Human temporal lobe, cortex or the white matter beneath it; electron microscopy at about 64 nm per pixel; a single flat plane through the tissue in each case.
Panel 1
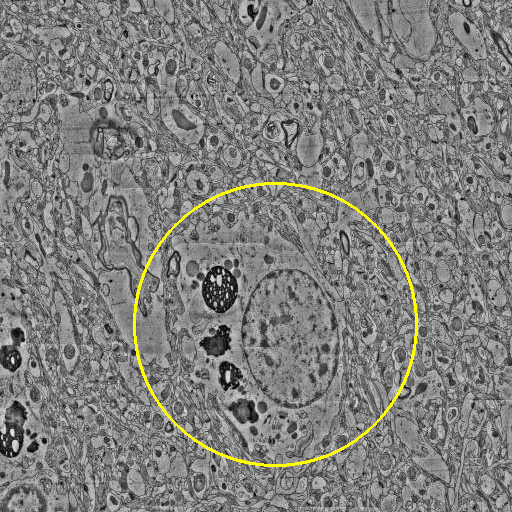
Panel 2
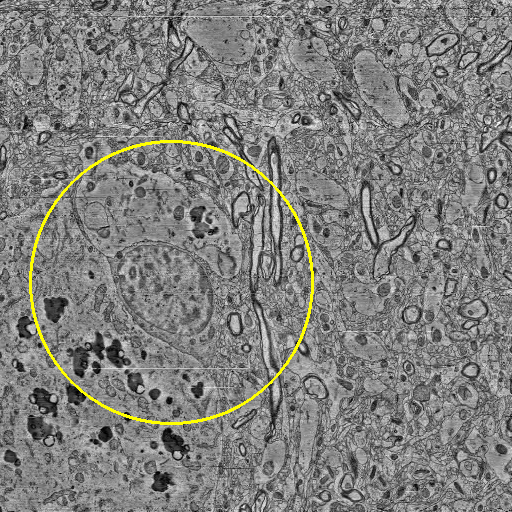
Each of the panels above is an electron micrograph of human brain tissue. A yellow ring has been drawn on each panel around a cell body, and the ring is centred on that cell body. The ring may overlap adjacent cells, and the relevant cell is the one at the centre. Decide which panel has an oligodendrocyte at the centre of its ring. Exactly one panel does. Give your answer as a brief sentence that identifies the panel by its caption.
Panel 2 is the one with it at the centre of the ring.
